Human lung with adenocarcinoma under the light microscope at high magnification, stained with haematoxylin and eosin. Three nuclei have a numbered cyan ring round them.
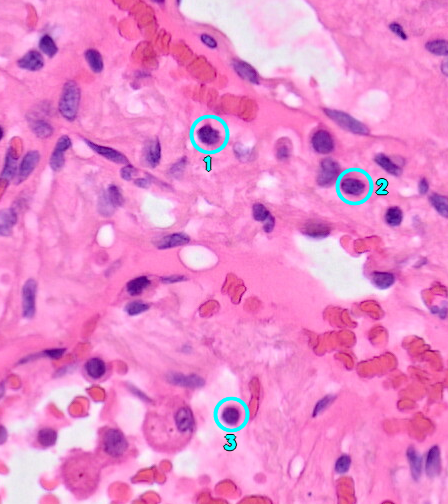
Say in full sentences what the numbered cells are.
Cells 1 and 3 are lymphocytes. Cell 2 is a mast cell.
